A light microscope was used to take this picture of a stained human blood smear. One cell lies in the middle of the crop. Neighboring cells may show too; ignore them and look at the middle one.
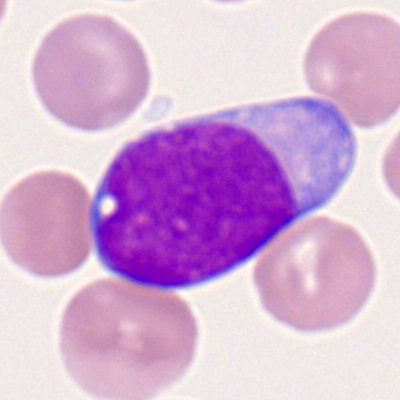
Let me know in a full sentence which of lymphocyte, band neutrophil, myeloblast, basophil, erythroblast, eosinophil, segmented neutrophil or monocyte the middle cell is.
This crop has a myeloblast at its centre.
